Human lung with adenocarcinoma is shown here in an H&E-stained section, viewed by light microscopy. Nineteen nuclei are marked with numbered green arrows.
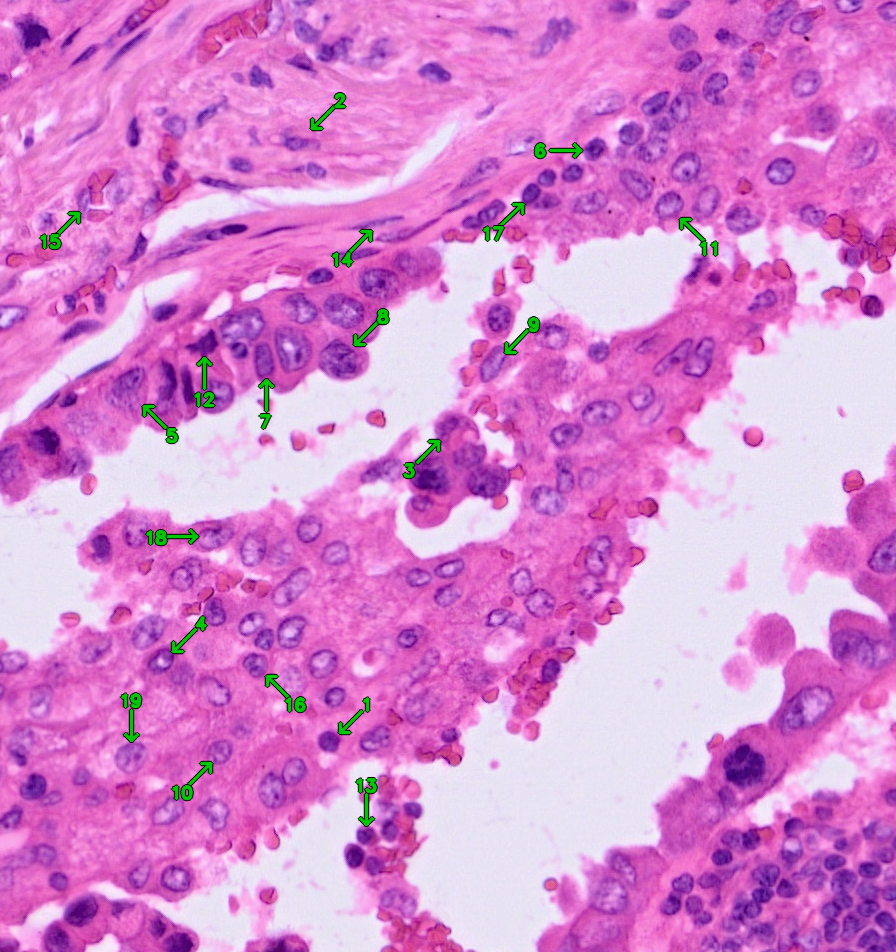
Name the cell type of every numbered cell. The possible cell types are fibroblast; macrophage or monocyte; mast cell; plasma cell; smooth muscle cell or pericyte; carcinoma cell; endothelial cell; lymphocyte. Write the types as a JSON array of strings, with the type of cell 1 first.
["lymphocyte", "smooth muscle cell or pericyte", "carcinoma cell", "macrophage or monocyte", "carcinoma cell", "lymphocyte", "carcinoma cell", "carcinoma cell", "macrophage or monocyte", "macrophage or monocyte", "macrophage or monocyte", "carcinoma cell", "lymphocyte", "fibroblast", "endothelial cell", "macrophage or monocyte", "lymphocyte", "macrophage or monocyte", "macrophage or monocyte"]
